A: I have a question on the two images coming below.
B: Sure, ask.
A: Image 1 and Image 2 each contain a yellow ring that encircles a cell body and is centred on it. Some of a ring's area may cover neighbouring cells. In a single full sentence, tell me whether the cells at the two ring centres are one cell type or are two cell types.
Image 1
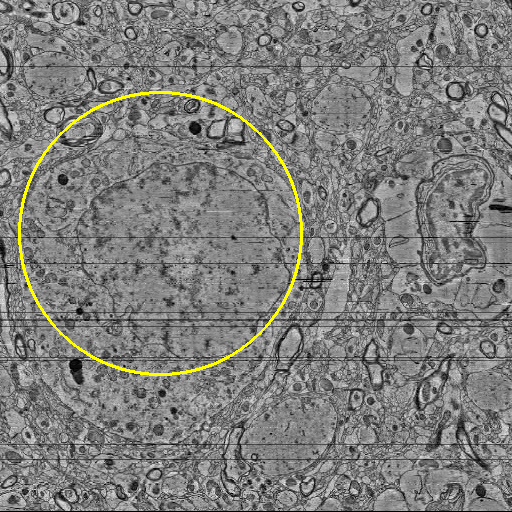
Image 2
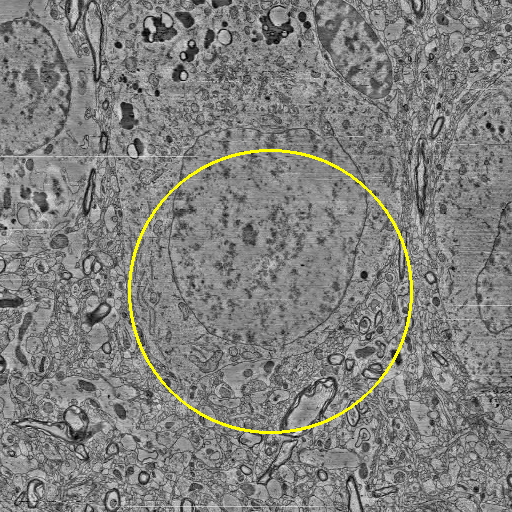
As for the ring-centre cells, the one in Image 1 and the one in Image 2 are one cell type.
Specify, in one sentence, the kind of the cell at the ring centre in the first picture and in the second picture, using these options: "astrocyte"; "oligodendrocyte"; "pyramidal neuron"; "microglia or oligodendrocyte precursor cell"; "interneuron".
Each of the two cells is a pyramidal neuron.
